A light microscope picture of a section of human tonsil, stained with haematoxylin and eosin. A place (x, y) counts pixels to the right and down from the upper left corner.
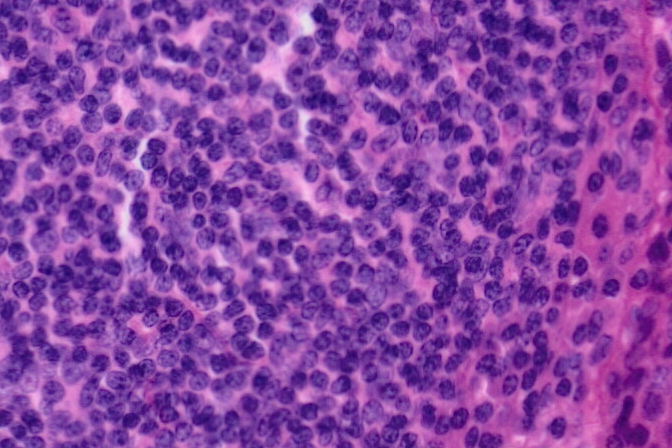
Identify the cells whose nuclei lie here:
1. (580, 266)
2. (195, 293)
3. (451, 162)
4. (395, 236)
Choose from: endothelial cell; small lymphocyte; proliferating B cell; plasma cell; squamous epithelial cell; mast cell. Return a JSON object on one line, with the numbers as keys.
{"1": "plasma cell", "2": "small lymphocyte", "3": "small lymphocyte", "4": "small lymphocyte"}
